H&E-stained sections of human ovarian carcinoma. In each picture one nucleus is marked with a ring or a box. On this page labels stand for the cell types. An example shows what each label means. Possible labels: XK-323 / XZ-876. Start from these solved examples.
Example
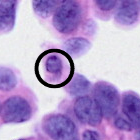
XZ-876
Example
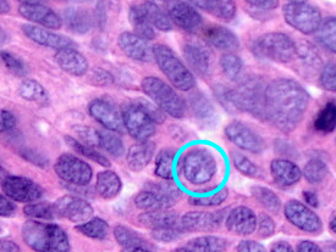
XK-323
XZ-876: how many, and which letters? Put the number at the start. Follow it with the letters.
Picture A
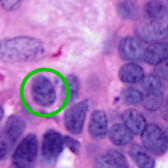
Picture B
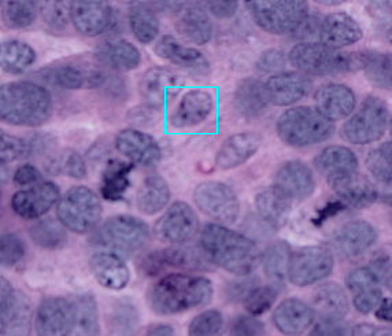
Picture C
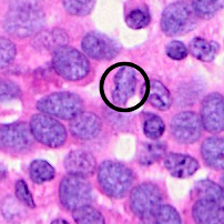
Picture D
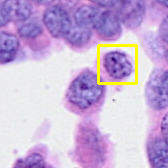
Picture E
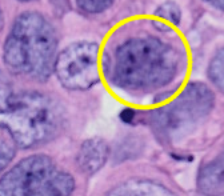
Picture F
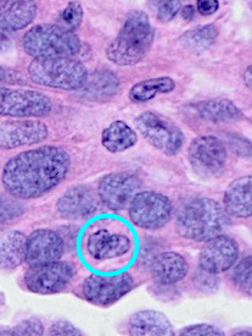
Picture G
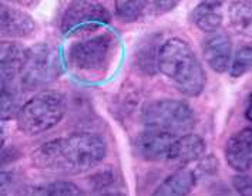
Count: 4 (B, C, D, F)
